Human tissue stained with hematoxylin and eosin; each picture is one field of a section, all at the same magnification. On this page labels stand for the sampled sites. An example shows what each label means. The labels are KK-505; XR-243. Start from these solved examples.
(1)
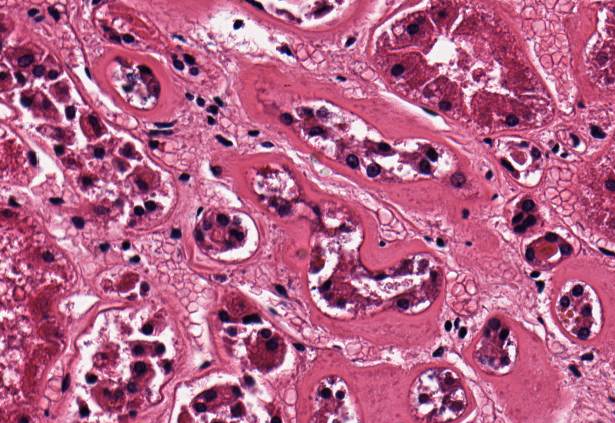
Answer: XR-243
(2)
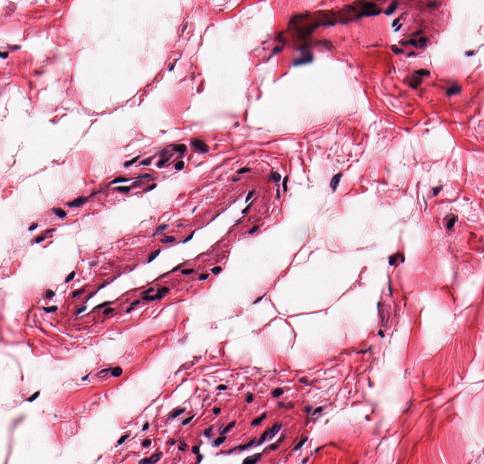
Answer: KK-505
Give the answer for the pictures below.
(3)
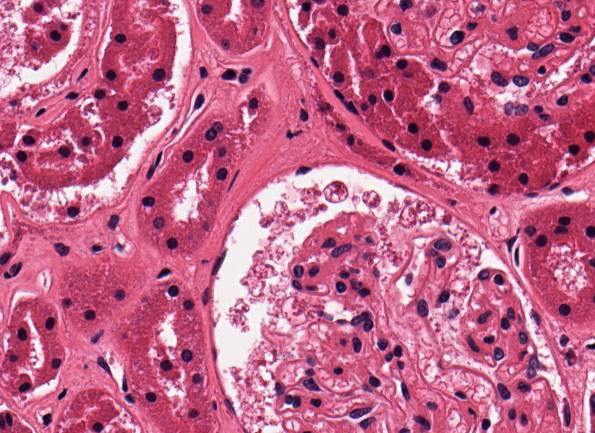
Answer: XR-243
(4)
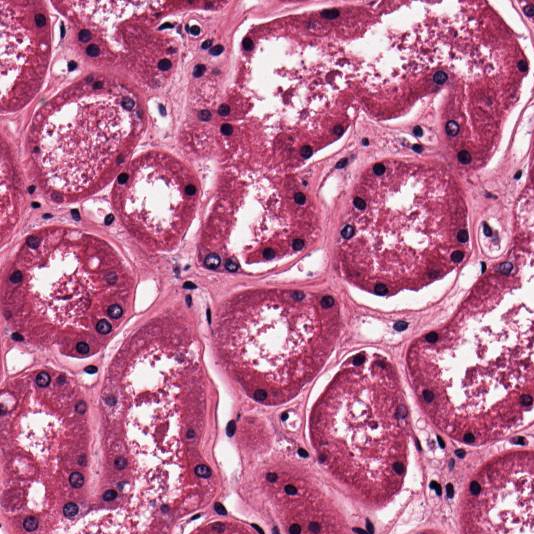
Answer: XR-243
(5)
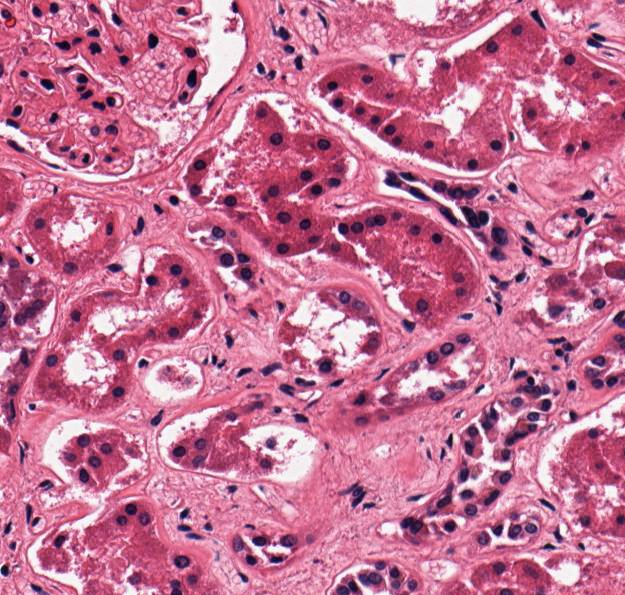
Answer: XR-243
